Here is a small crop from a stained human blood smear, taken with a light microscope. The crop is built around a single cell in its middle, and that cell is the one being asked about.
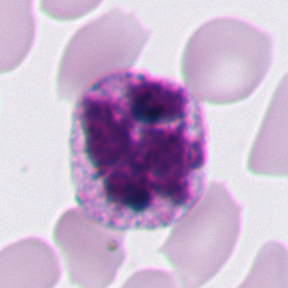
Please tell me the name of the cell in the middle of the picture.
basophil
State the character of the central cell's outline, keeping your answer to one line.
No projections interrupt the outline; it is smooth all the way round.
